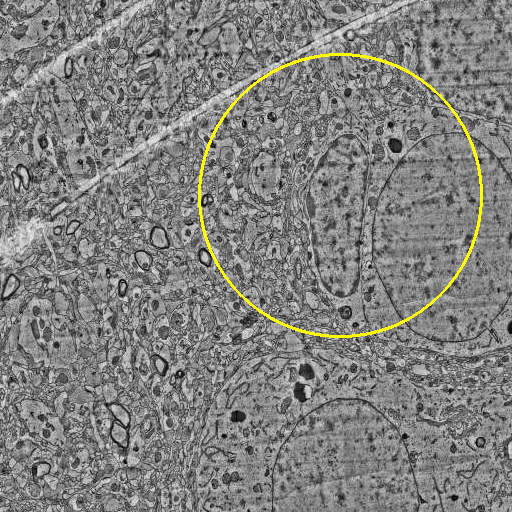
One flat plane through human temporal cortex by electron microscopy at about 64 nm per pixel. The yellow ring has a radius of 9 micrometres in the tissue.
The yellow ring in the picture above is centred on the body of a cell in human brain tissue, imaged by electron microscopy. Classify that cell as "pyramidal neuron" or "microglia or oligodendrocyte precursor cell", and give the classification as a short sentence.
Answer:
The cell in the middle of the ring is a microglial cell or oligodendrocyte precursor cell.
